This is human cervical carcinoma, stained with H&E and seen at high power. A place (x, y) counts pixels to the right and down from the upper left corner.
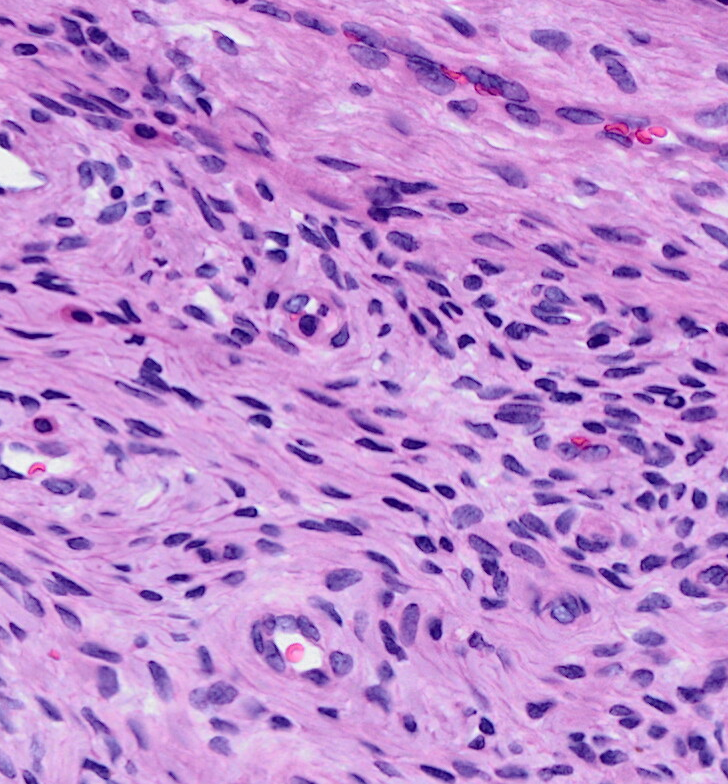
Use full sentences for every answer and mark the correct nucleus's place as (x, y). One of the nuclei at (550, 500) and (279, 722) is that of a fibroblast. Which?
The nucleus of the pair that lies within a fibroblast is at (550, 500).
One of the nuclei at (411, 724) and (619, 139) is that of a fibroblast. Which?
Of the two nuclei, the nucleus belonging to a fibroblast is located at (411, 724).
